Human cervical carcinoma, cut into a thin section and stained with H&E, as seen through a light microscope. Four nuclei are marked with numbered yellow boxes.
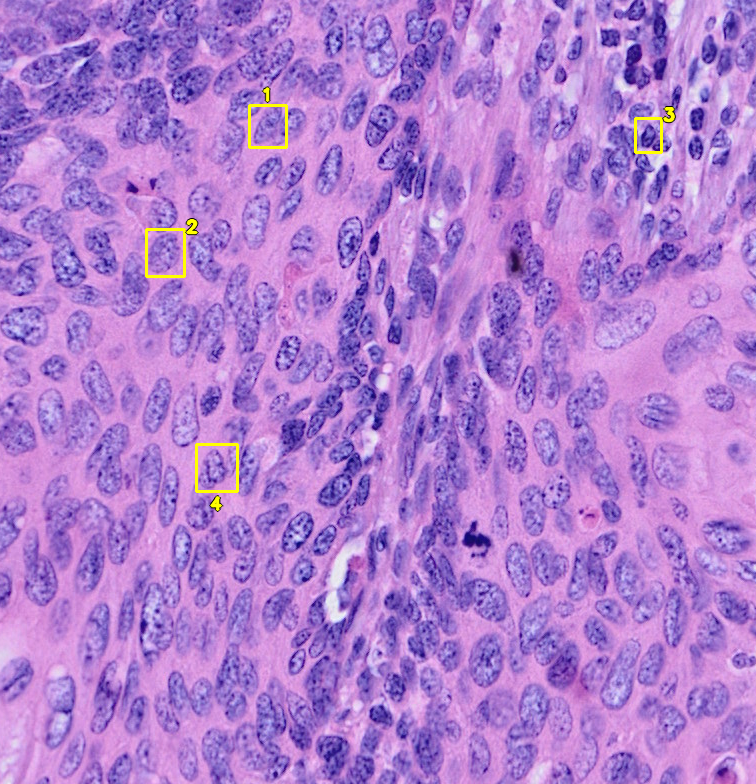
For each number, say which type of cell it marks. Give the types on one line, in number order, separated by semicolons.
squamous carcinoma cell; squamous carcinoma cell; lymphocyte; squamous carcinoma cell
